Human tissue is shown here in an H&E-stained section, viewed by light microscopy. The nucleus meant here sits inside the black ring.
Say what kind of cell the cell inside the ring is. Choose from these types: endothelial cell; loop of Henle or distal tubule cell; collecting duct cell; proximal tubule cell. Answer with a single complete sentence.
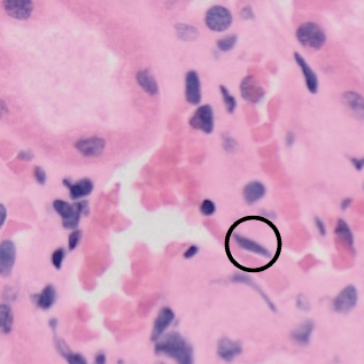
Within this tissue, the cell inside the ring is an endothelial cell.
